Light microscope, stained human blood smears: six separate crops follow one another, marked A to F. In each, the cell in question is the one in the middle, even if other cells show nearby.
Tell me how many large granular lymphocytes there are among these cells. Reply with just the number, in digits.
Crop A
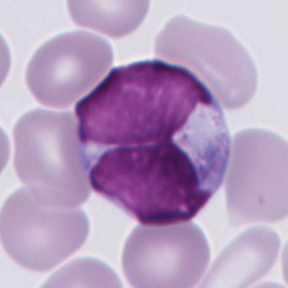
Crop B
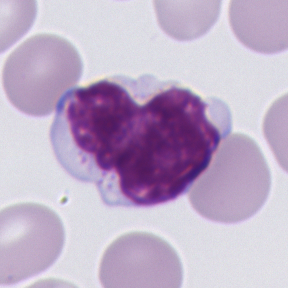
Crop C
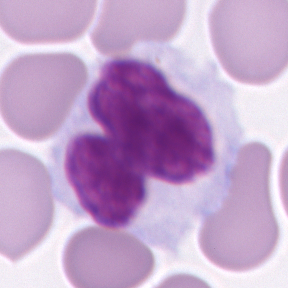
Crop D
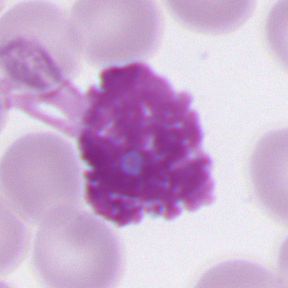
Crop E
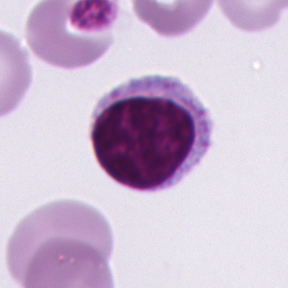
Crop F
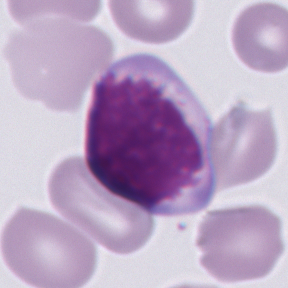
4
